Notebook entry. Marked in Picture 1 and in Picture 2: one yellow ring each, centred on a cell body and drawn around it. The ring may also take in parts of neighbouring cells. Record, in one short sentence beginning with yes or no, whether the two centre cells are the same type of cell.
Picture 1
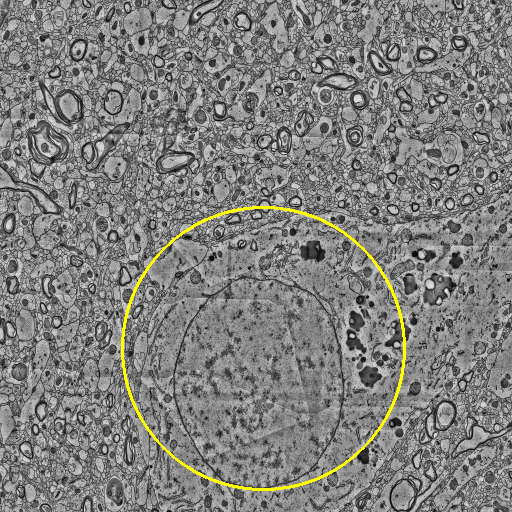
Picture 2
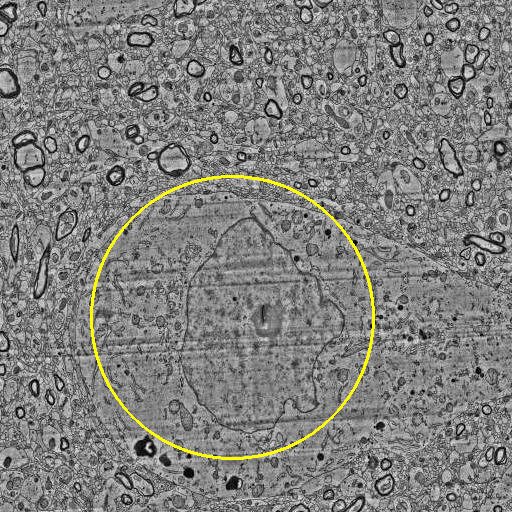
Yes, both are the same type of cell.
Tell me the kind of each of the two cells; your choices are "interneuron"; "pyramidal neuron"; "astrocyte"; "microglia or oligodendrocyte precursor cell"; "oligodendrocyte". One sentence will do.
The ring centre holds a pyramidal neuron in each of the two pictures.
